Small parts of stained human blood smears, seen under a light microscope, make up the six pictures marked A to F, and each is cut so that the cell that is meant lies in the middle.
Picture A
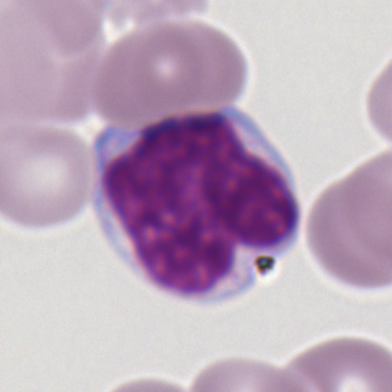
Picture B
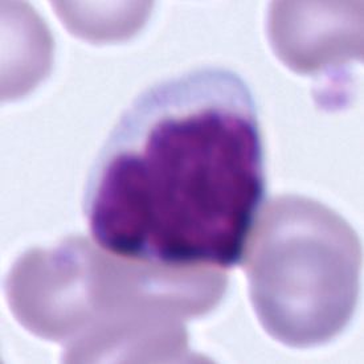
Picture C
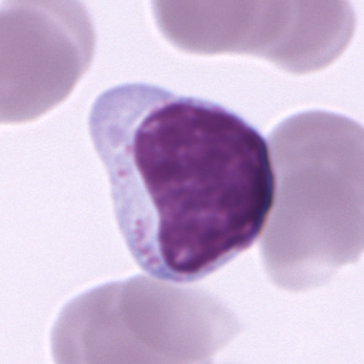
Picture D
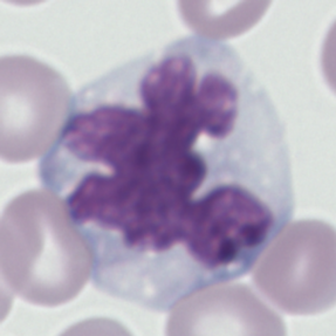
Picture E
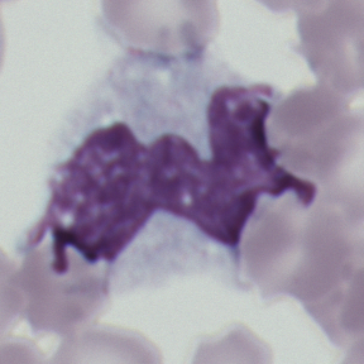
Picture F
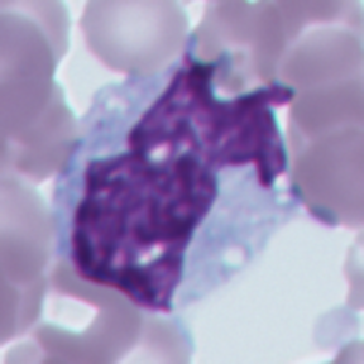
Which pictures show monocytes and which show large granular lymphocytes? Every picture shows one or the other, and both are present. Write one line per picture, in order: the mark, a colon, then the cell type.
A: large granular lymphocyte
B: large granular lymphocyte
C: large granular lymphocyte
D: monocyte
E: monocyte
F: monocyte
